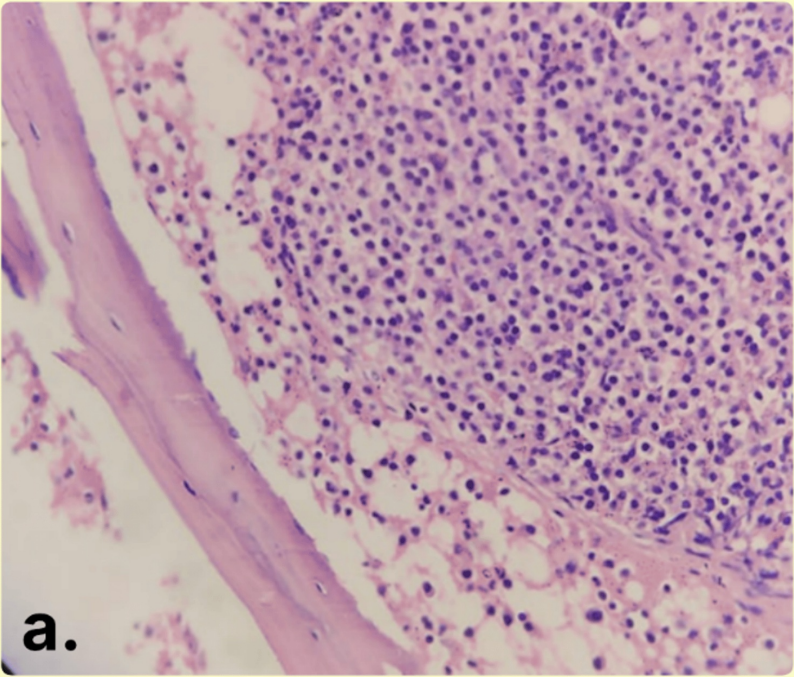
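This marrow biopsy section shows a bony trabecula in pink along the left, with the marrow space beside it filled by a dense sheet of plasma cells. The cells are packed closely, each with a dark round nucleus and a little pink cytoplasm, forming a solid, fairly uniform population. At the edge of the sheet, near the bone, there are clear round fat spaces with looser cells between them. The solid sheet crowds out the normal mixture of fat and varied marrow cells.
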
